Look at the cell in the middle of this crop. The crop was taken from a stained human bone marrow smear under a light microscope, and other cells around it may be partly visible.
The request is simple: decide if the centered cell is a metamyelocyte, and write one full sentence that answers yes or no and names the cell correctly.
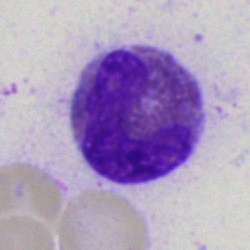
No, the cell in the centre is an eosinophil instead of a metamyelocyte.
